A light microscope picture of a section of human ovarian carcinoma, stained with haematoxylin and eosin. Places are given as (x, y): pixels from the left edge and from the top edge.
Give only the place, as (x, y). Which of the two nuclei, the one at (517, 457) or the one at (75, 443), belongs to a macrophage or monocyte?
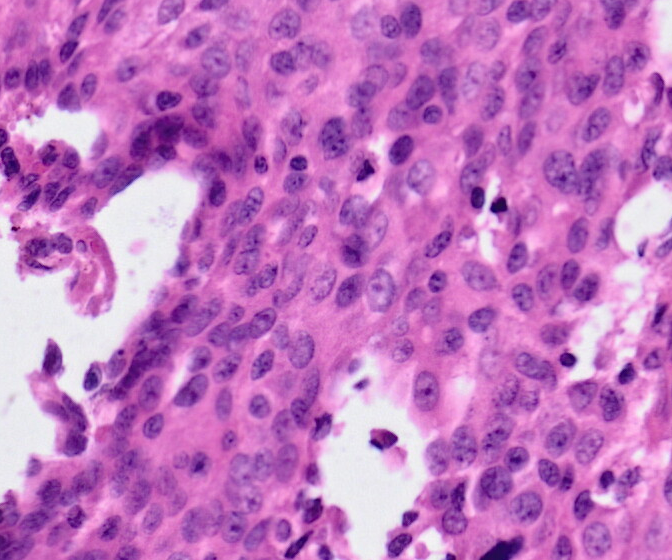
(517, 457)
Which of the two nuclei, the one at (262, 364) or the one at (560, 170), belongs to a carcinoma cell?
(560, 170)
